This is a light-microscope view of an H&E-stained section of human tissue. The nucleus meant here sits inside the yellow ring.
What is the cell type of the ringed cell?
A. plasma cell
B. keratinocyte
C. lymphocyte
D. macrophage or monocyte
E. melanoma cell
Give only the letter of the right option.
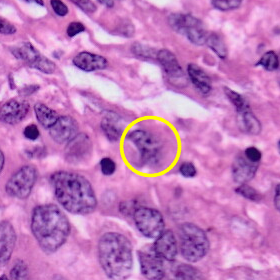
E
